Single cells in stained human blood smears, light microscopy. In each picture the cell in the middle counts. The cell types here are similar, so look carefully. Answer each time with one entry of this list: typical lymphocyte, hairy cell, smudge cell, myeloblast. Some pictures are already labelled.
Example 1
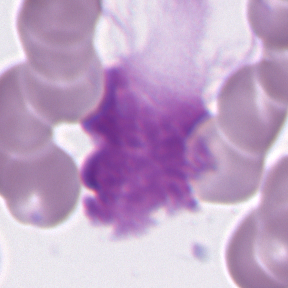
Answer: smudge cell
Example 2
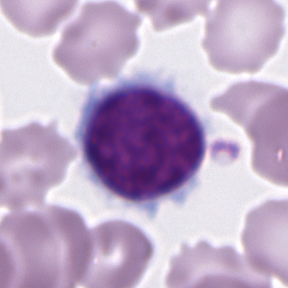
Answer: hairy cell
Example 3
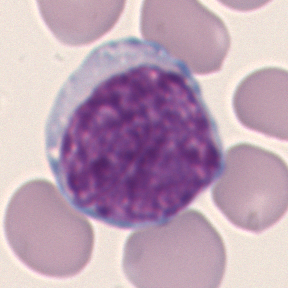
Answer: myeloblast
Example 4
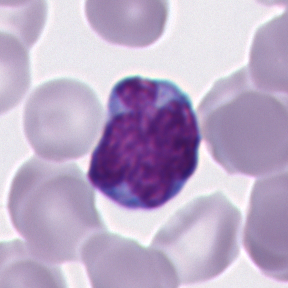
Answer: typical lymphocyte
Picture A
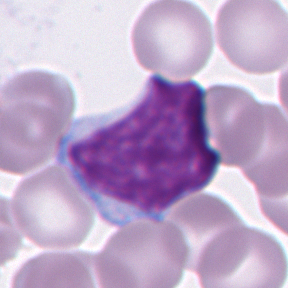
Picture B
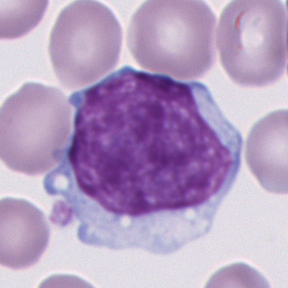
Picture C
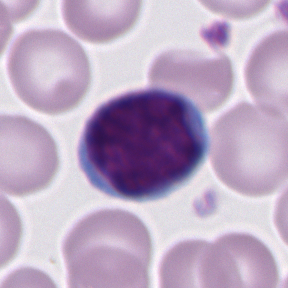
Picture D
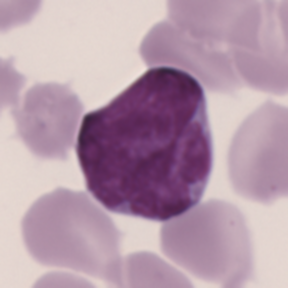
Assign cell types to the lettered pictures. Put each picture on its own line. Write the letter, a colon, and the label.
A: typical lymphocyte
B: myeloblast
C: typical lymphocyte
D: myeloblast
